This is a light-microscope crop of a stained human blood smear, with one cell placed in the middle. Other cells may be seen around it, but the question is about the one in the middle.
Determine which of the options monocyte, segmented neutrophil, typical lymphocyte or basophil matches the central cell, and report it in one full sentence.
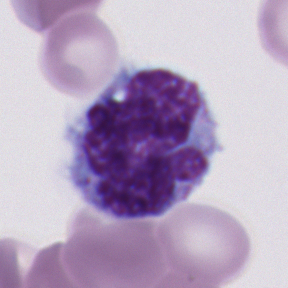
Present in the middle of the crop is a monocyte.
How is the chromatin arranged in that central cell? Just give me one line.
Answer: the chromatin in this nucleus is coarsely clumped.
